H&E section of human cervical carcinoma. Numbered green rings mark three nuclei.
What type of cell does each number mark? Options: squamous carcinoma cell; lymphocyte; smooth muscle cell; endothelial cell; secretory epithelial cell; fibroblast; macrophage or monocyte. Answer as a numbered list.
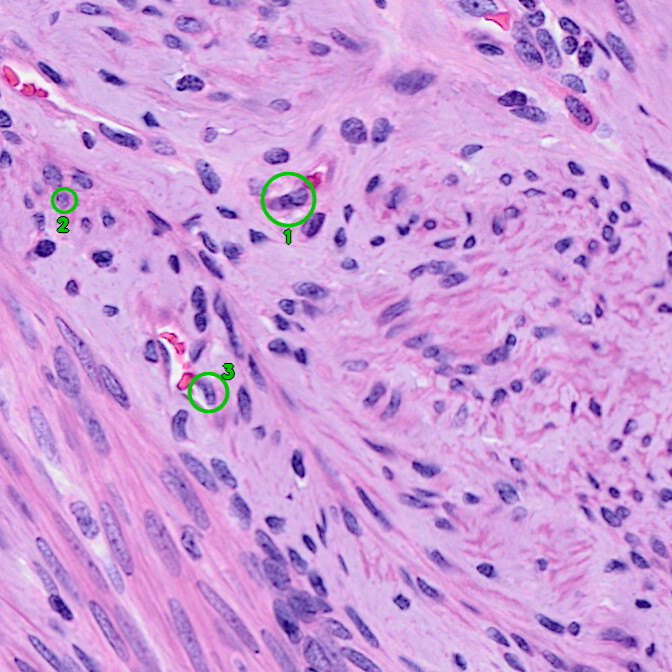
1. endothelial cell
2. smooth muscle cell
3. endothelial cell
